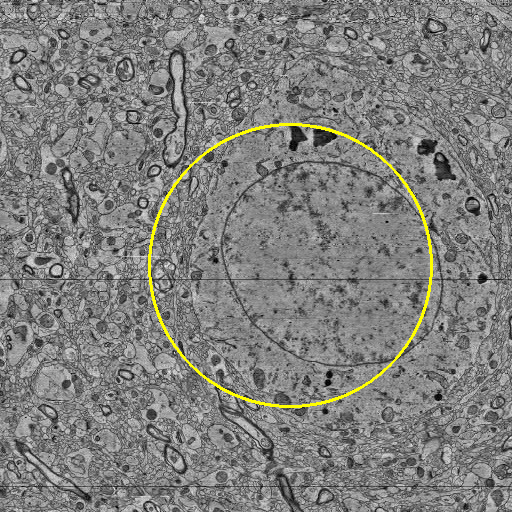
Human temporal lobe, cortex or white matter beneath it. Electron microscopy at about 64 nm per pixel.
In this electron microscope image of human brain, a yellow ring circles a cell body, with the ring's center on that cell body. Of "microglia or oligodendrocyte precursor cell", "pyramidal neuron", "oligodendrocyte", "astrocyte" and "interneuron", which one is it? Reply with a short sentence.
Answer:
It is a pyramidal neuron at the center of the ring.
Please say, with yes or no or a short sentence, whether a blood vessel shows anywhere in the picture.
No.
